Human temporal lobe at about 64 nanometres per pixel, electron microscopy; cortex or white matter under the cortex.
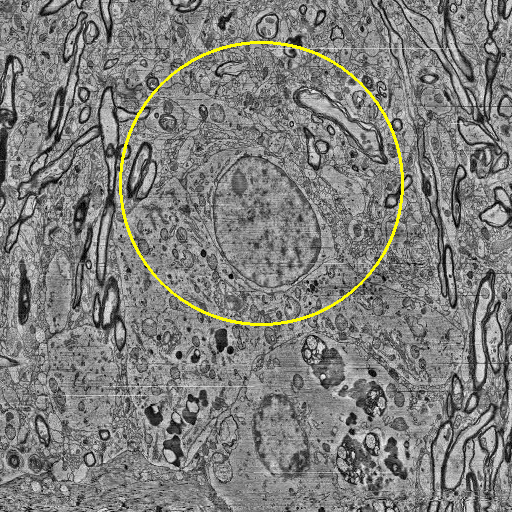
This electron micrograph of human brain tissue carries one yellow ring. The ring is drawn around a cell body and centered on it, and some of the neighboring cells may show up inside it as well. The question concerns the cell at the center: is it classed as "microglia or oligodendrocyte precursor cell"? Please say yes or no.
Yes, it is classed that way.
